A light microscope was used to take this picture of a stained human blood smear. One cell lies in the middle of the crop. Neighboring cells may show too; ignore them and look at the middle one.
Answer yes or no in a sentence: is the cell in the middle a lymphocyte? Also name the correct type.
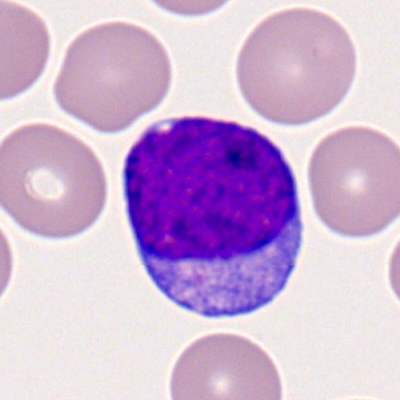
No, the middle cell is not a lymphocyte, it being a blast.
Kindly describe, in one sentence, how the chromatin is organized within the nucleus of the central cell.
You can see that its chromatin is coarsely clumped.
